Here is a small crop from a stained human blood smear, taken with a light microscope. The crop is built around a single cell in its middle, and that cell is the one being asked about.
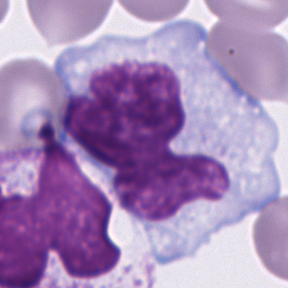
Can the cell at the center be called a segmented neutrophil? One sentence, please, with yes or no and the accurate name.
No, the cell sitting in the centre of the crop is a monocyte, not a segmented neutrophil.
